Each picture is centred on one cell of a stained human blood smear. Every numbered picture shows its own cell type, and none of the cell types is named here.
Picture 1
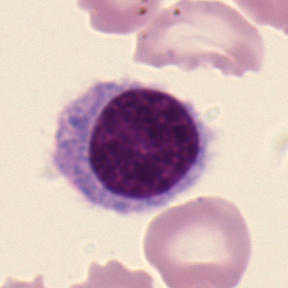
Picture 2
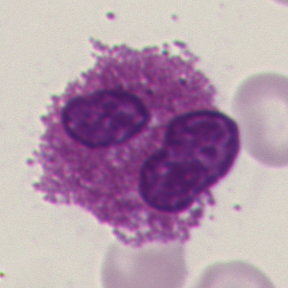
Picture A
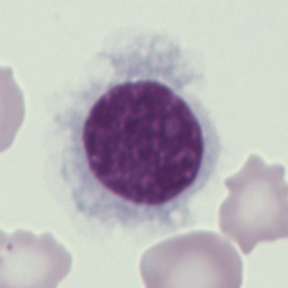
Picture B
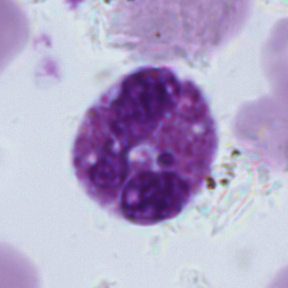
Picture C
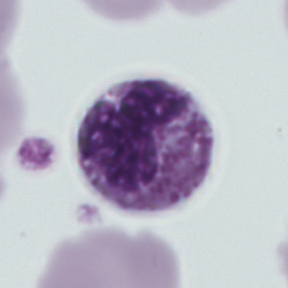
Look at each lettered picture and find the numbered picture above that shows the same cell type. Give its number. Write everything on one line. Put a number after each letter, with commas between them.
A 1, B 2, C 2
